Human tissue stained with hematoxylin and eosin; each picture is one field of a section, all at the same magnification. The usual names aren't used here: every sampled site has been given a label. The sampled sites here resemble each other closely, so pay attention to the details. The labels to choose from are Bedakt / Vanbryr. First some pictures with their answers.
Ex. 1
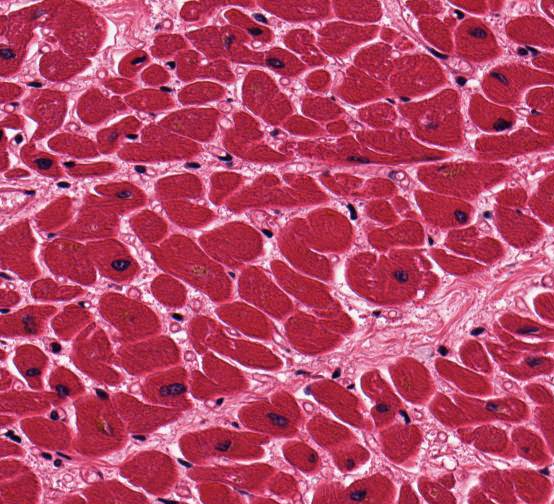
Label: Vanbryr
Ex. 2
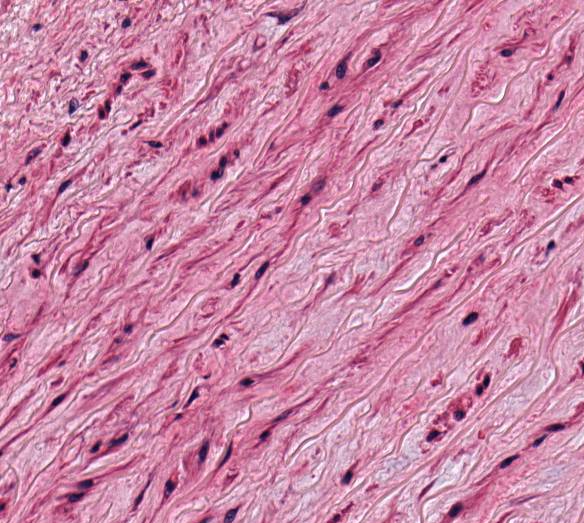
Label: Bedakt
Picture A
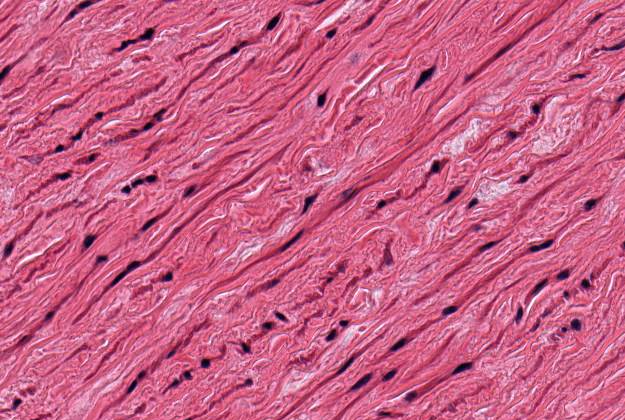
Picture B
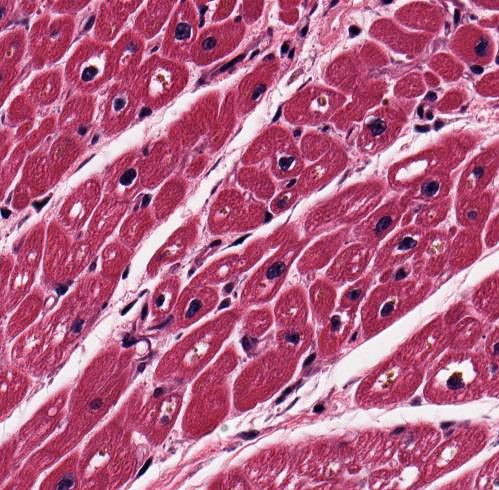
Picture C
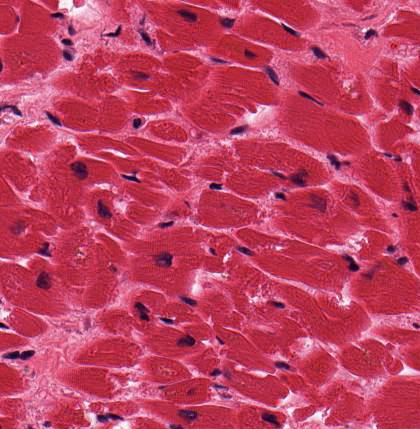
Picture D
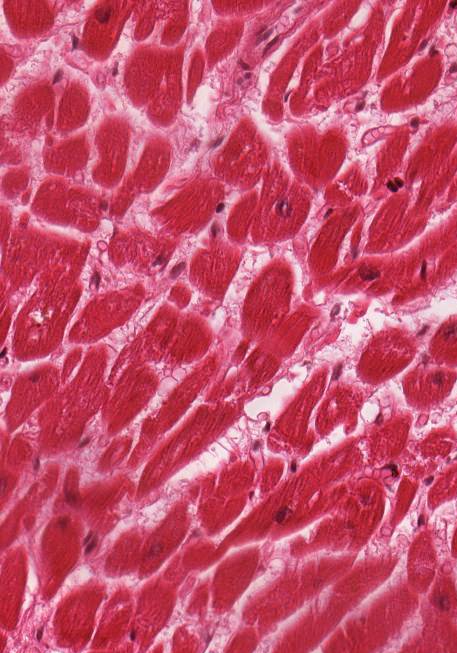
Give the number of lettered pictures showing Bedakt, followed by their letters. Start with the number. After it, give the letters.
1, namely A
